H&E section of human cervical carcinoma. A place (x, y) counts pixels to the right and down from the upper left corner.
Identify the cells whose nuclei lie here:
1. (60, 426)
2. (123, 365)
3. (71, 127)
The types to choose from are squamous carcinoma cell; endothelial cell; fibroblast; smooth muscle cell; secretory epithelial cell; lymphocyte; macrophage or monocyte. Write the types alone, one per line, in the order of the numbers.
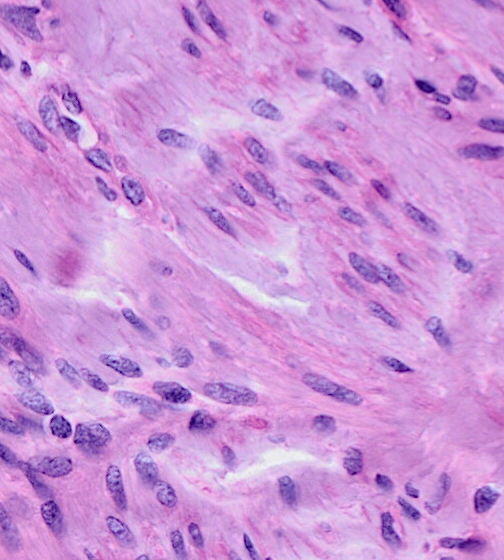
lymphocyte
fibroblast
endothelial cell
